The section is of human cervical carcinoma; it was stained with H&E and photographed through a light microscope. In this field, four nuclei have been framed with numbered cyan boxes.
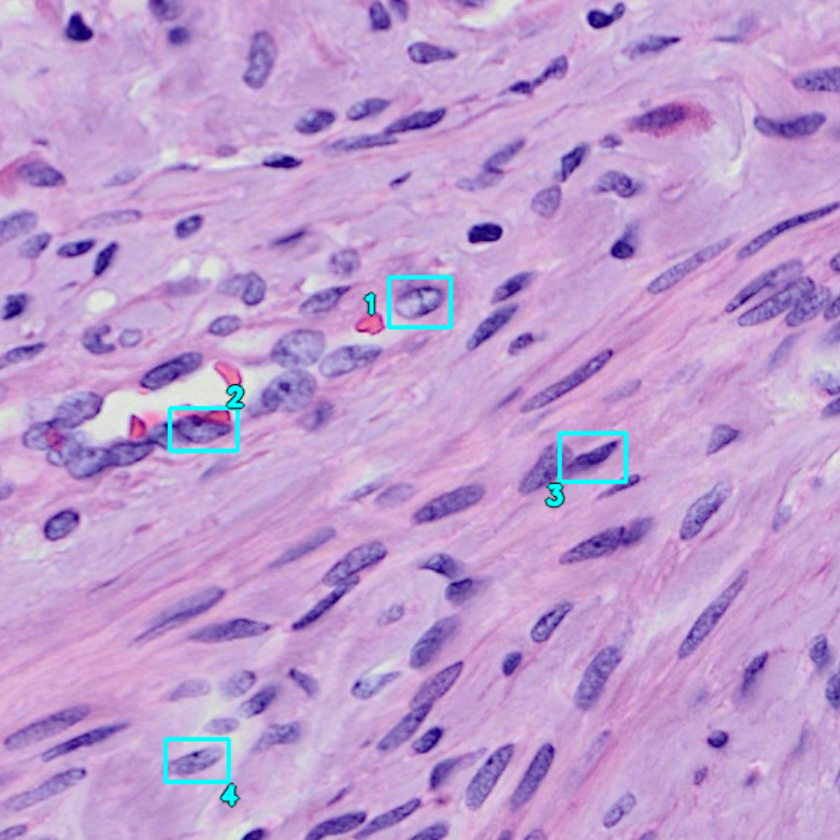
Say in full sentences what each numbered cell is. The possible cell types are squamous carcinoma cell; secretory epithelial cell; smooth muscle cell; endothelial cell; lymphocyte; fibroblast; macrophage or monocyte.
Cells 1 and 2 are endothelial cells. Cells 3 and 4 are fibroblasts.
